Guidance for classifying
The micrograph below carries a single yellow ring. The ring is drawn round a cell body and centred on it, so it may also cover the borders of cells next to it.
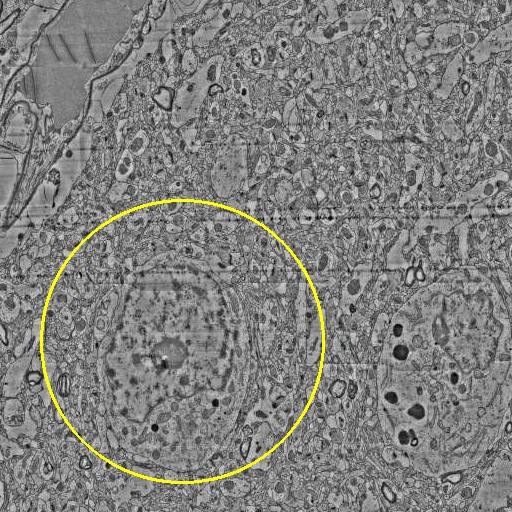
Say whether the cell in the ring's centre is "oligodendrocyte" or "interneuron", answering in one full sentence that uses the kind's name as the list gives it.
Within the yellow ring, an interneuron is the cell whose body sits at the centre.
